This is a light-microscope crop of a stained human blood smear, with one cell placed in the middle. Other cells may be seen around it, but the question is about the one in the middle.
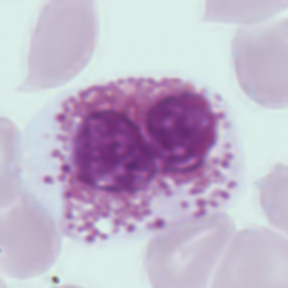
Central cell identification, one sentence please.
The cell shown in the center of this light-microscope crop is an eosinophil.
